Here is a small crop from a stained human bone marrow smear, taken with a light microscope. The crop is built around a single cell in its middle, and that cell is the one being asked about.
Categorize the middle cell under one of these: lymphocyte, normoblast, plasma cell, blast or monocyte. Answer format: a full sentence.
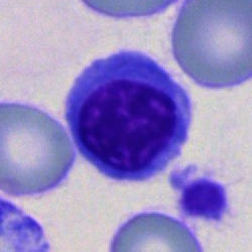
The centrally located cell in the crop is a normoblast.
